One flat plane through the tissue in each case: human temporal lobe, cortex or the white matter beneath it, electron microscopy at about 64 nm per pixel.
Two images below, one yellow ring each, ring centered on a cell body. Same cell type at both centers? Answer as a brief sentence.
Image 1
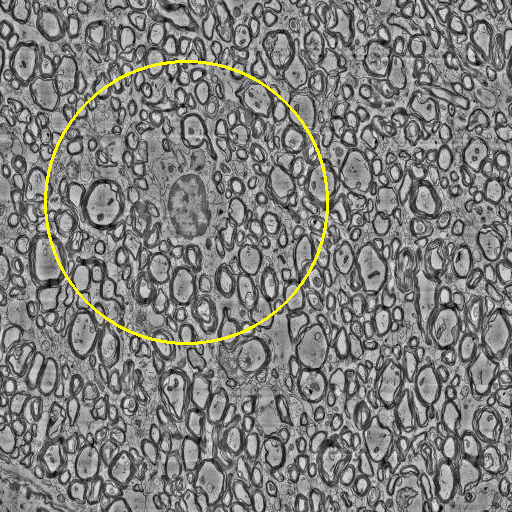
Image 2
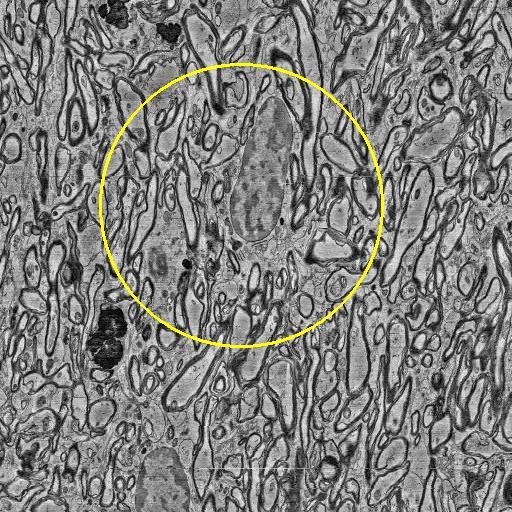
Yes, both cells are of the same type.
